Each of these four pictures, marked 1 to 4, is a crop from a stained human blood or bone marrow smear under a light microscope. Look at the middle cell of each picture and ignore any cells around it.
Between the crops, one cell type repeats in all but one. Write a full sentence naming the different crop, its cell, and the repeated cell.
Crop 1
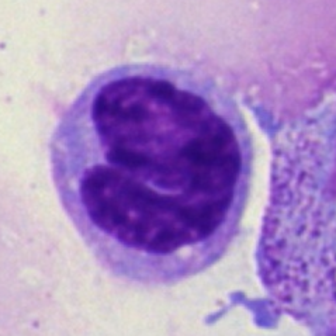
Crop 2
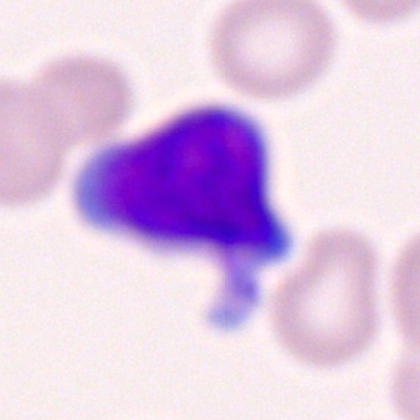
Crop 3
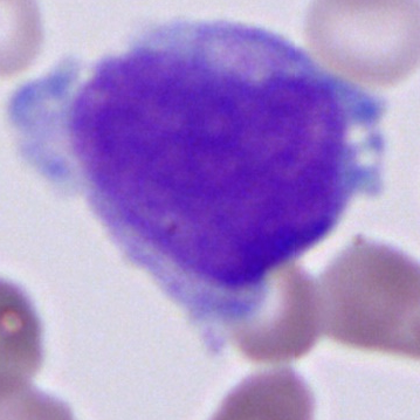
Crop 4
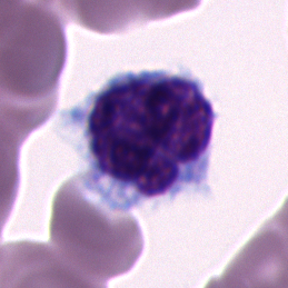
The one crop not showing monocytes is crop 2, which shows a lymphocyte.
